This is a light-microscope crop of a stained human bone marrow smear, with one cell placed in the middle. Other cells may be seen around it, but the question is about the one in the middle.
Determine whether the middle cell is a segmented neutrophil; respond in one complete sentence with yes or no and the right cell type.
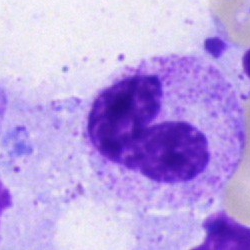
No, the central cell is identified not as a segmented neutrophil but as a band neutrophil.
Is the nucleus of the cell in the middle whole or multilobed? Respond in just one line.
Worth pointing out that its nucleus is one compact mass, round, oval or reniform.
